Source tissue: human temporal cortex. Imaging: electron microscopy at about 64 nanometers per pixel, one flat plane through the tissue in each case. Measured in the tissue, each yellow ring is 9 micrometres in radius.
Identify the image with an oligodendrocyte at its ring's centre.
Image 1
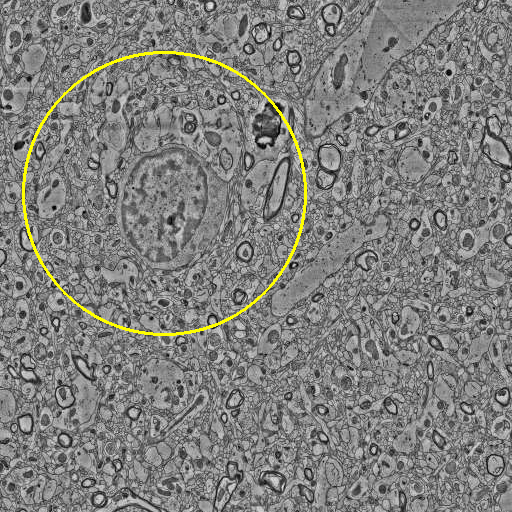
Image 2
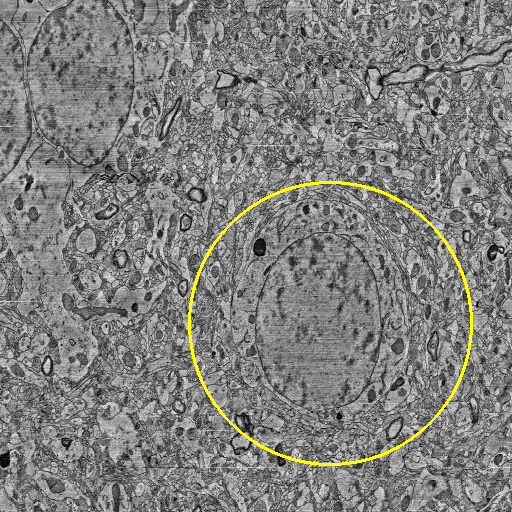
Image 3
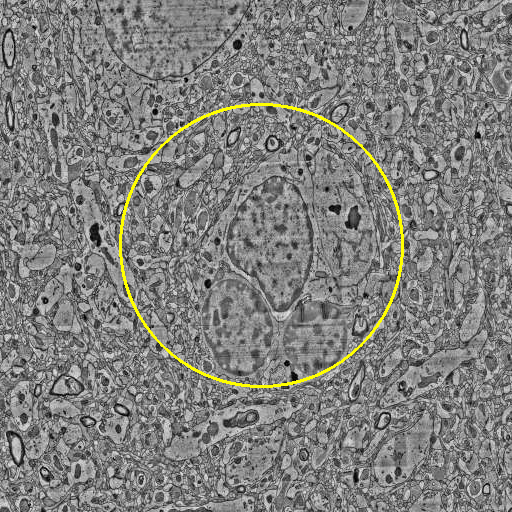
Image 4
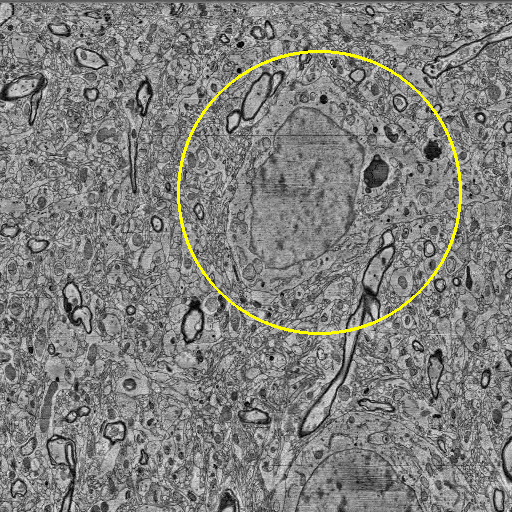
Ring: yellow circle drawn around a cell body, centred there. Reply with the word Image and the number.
Image 1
